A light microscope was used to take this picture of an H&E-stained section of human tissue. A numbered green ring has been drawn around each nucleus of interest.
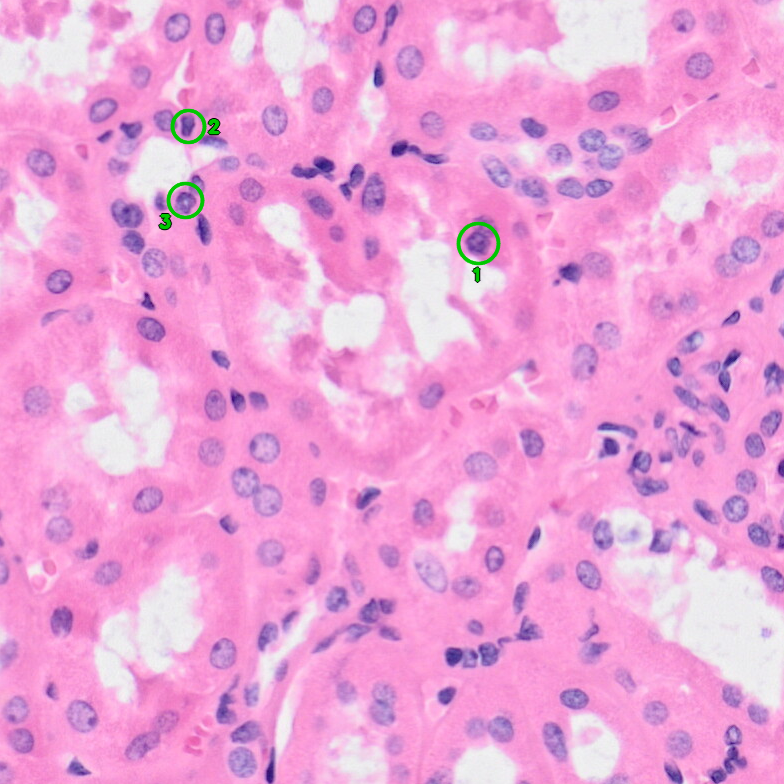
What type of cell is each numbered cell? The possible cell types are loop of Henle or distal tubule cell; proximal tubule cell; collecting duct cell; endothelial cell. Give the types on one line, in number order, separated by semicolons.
proximal tubule cell; collecting duct cell; collecting duct cell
